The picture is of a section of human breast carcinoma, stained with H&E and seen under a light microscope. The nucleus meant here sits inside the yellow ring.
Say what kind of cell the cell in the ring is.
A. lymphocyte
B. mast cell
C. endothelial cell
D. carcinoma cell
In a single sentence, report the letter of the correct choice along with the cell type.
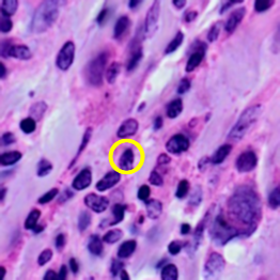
The correct identification, the cell in the ring as a lymphocyte, is given by option A.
